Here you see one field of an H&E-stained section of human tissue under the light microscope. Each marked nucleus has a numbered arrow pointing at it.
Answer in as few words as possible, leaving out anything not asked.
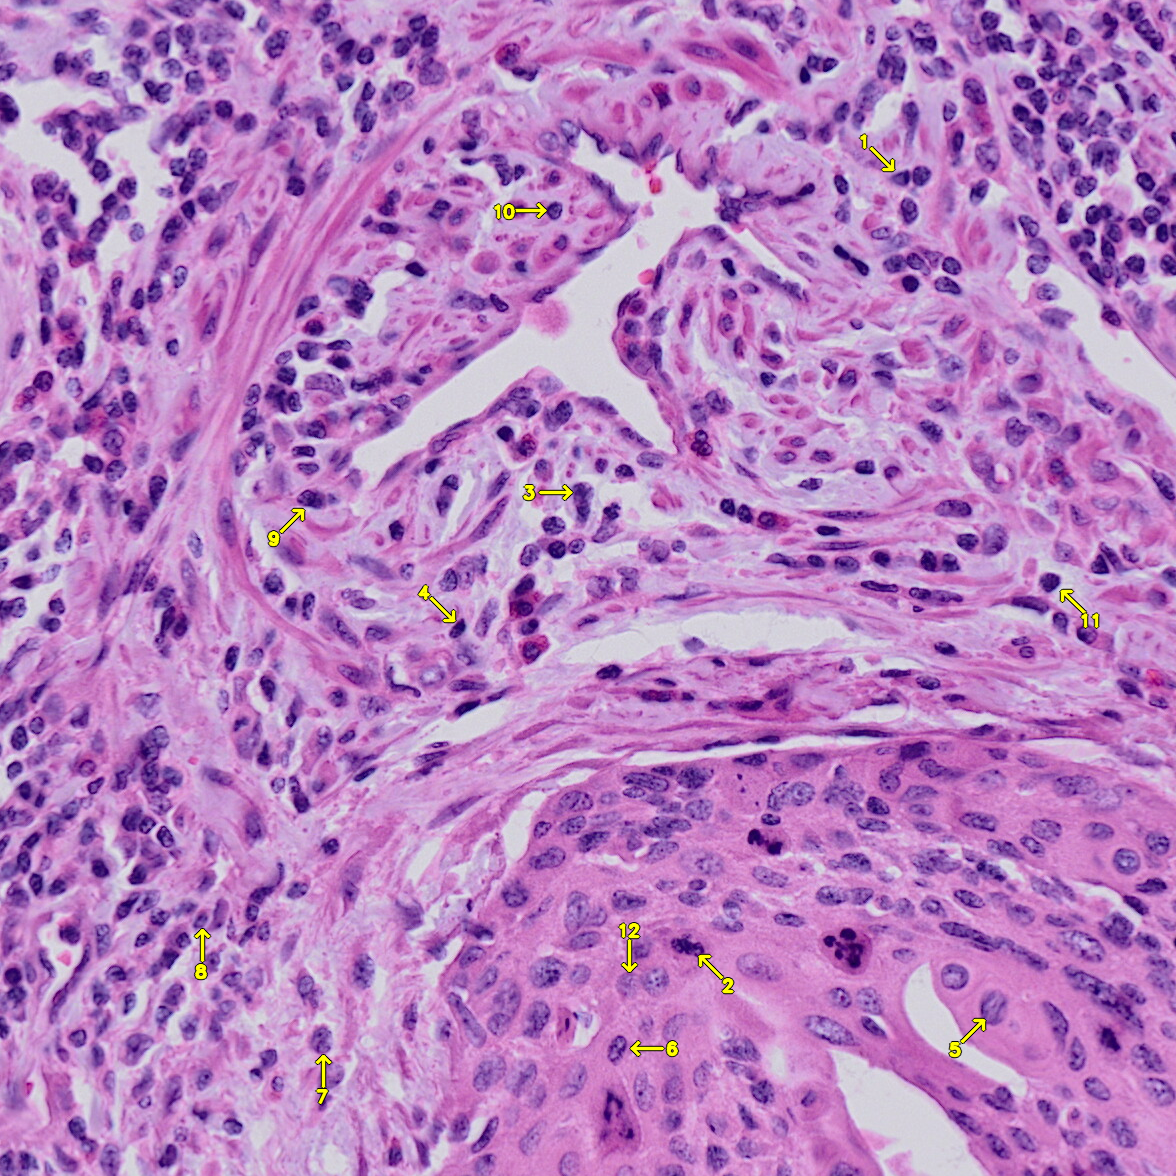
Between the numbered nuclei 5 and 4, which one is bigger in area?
5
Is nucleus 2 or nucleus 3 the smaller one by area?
3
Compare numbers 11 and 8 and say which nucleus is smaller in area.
8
